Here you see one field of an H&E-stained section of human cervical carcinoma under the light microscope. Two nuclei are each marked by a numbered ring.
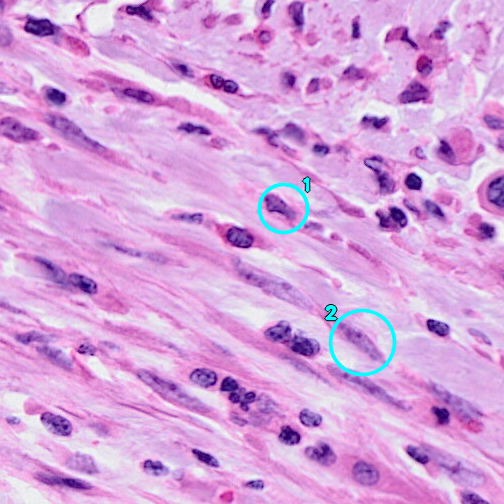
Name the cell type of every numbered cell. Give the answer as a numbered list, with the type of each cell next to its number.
1. macrophage or monocyte
2. fibroblast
